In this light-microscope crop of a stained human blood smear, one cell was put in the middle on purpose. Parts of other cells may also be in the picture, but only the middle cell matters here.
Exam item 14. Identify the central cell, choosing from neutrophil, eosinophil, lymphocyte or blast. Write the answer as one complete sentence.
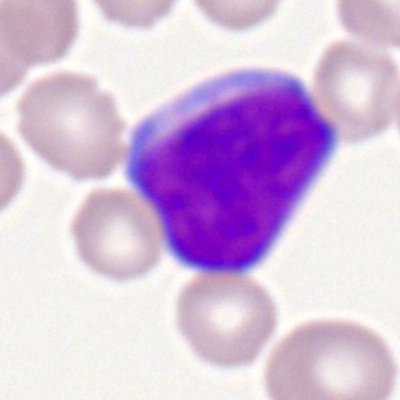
The cell at the middle of the crop is recognized as a blast.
